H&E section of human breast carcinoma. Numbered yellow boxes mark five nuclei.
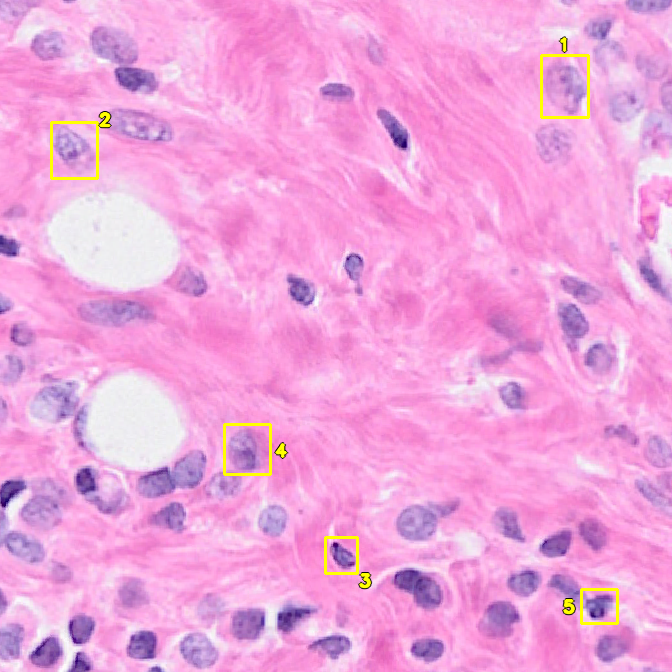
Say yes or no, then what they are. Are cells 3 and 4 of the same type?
No, cell 3 is a lymphocyte; as for cell 4, that one is a fibroblast.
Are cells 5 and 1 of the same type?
No, cell 5 is a lymphocyte, whereas cell 1, for its part, is a fibroblast.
